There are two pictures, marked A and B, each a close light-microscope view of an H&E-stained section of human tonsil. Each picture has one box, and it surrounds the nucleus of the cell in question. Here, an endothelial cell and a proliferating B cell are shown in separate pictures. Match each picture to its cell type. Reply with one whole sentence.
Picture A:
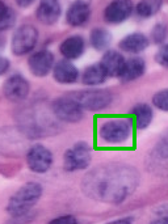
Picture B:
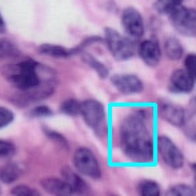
It is picture A that shows an endothelial cell, and picture B that shows a proliferating B cell.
